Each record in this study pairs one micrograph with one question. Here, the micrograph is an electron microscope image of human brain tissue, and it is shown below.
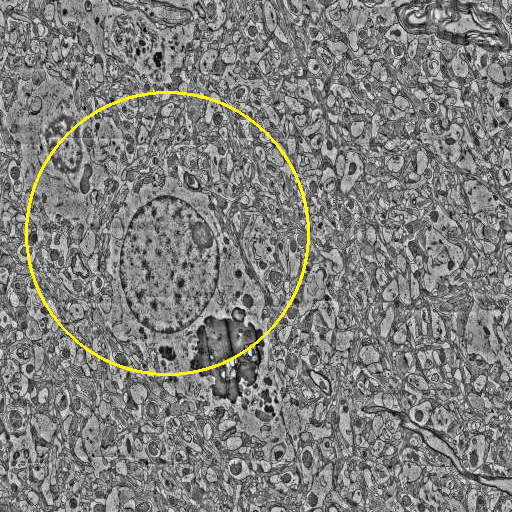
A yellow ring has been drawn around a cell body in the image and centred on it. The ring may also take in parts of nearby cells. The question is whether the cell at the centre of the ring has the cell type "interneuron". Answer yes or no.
no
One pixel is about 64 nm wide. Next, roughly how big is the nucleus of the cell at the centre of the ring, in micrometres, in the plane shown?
About 9 by 6 micrometres in this plane.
